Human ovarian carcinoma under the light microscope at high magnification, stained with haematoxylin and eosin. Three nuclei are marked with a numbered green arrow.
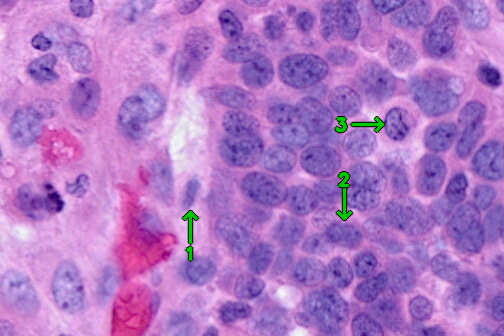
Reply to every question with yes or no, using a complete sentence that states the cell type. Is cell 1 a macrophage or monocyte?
Yes, in the section, number 1 is a macrophage or monocyte.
